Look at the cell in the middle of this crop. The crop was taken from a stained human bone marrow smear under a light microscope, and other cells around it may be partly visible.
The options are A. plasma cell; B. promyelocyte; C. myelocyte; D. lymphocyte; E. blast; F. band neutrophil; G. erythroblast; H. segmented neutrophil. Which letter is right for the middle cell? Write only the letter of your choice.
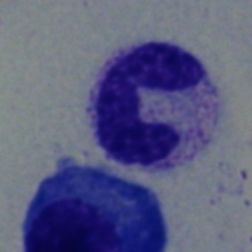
F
